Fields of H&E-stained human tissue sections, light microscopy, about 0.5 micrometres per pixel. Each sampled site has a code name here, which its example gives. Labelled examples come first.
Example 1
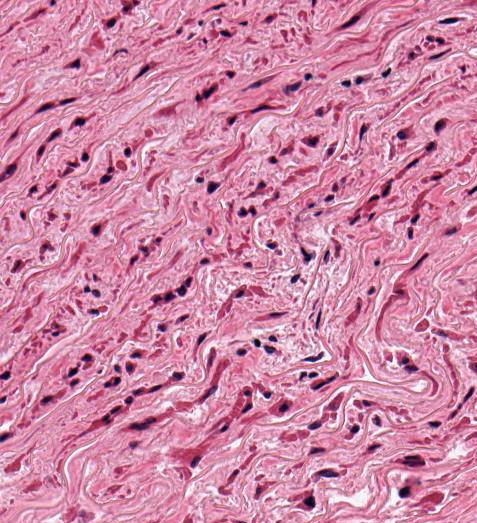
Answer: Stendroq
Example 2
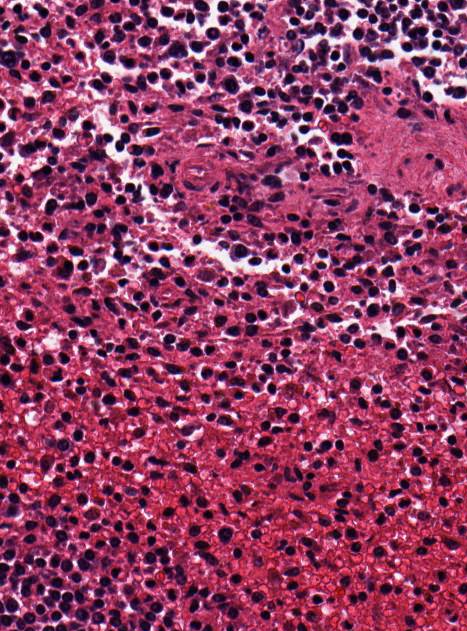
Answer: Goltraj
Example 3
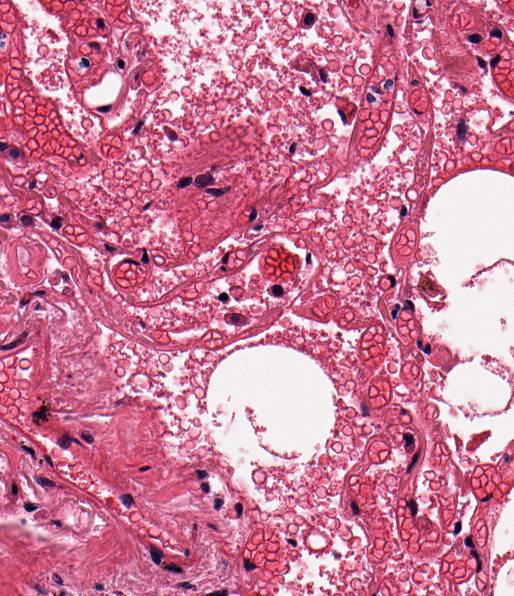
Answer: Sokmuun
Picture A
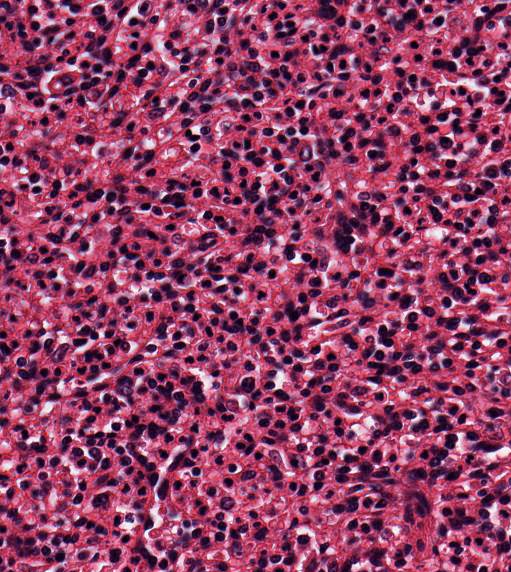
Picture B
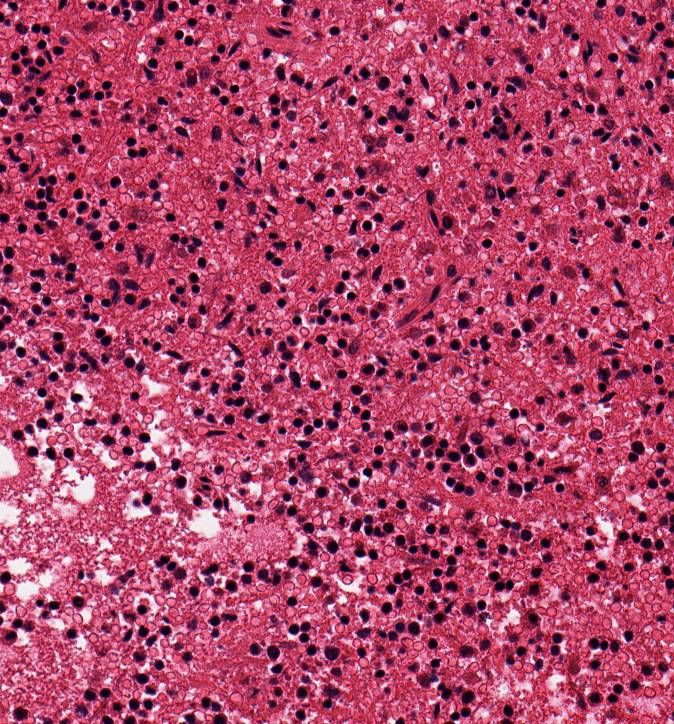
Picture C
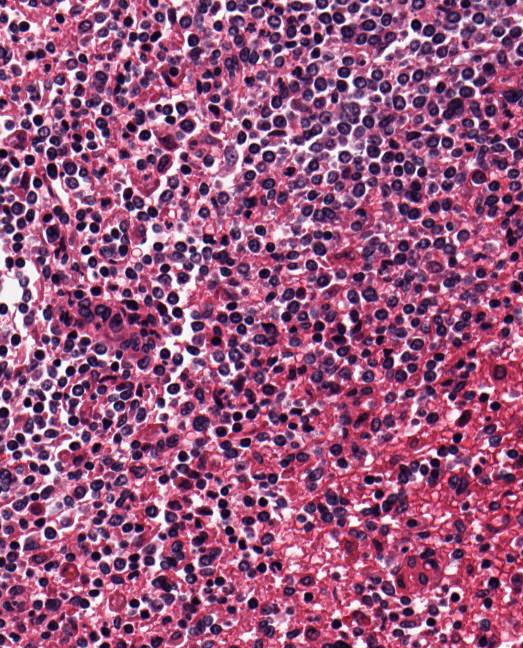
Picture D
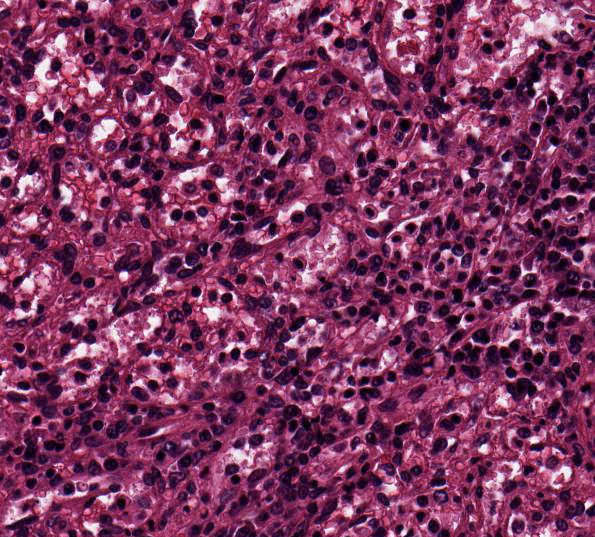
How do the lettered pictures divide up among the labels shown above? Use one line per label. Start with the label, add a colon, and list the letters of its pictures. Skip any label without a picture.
Goltraj: A, B, C, D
